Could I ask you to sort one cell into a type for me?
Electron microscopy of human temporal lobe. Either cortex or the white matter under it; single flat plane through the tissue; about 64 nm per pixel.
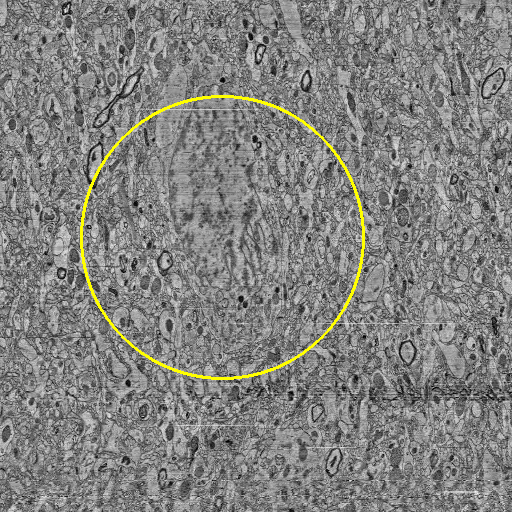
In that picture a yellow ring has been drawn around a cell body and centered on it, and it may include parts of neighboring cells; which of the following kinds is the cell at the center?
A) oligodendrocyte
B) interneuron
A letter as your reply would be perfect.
B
